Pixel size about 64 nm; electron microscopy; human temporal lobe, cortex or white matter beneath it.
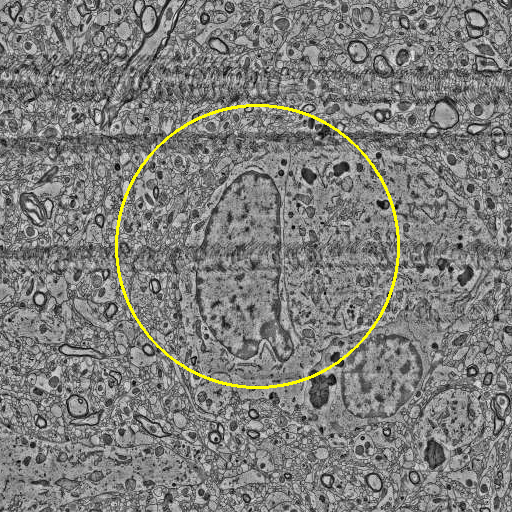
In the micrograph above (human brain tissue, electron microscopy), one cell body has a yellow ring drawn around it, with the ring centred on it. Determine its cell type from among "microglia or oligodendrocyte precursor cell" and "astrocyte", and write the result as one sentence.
The cell whose body is ringed is a microglial cell or oligodendrocyte precursor cell.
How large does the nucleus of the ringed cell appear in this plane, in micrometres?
About 9 by 6 micrometres in this plane; clearly longer than it is wide.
